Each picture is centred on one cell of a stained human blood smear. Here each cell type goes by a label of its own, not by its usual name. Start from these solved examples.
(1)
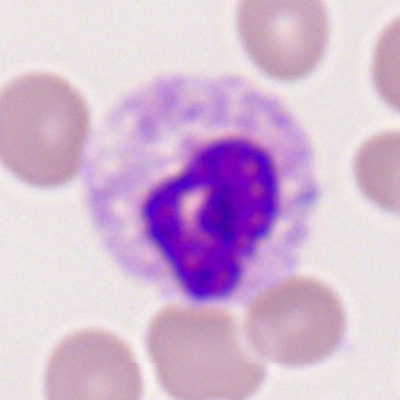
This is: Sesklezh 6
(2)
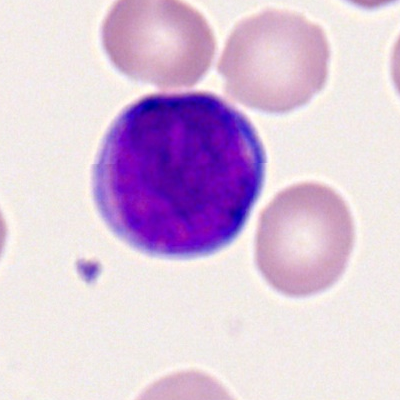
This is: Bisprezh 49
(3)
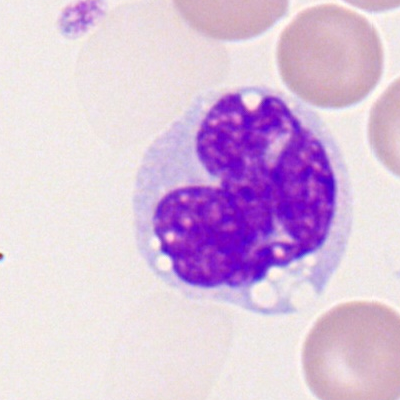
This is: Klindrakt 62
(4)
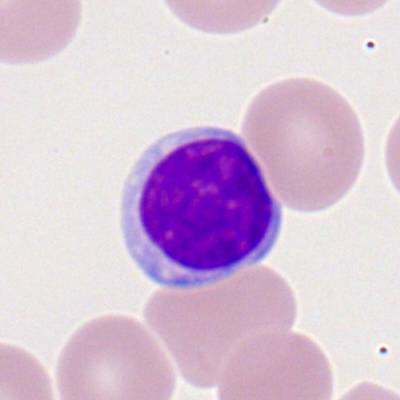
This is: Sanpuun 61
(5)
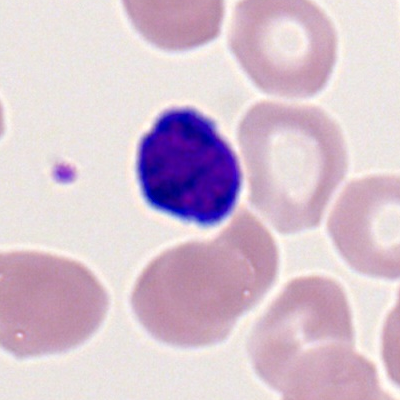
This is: Sanpuun 61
